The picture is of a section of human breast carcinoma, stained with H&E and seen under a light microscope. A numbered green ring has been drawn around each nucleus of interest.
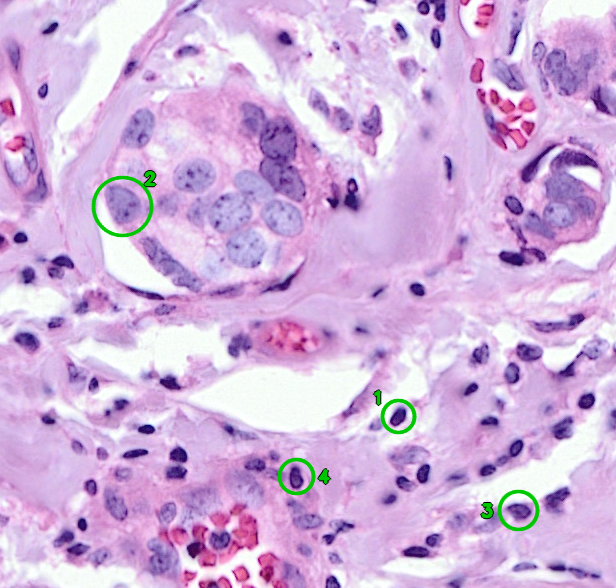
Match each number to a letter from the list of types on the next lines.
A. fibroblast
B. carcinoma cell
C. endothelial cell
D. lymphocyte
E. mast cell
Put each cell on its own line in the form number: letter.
1: D
2: B
3: D
4: D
